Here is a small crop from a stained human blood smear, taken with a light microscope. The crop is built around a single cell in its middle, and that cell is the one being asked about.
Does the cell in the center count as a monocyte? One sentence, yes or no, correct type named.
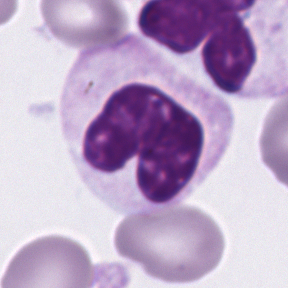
No, the cell under consideration is a band neutrophil instead of a monocyte.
